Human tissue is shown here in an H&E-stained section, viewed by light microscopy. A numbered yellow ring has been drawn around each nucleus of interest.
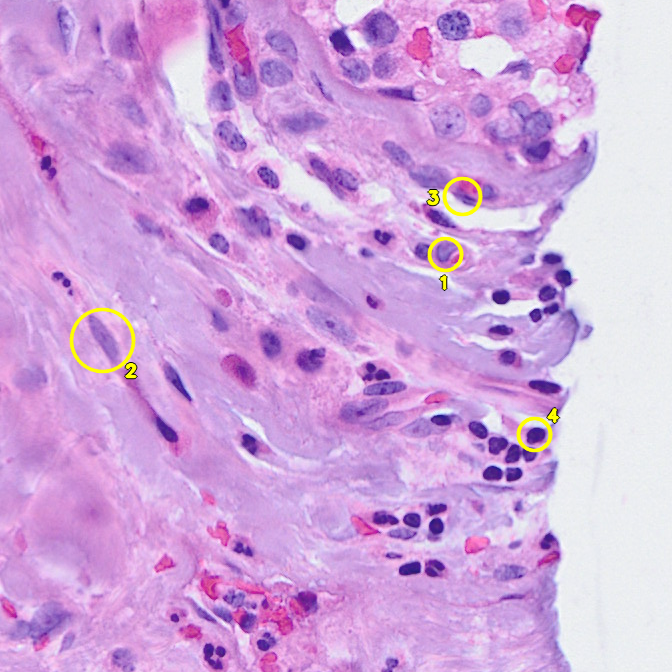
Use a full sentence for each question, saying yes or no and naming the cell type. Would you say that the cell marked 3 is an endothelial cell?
Yes, so the cell at label 3 is an endothelial cell.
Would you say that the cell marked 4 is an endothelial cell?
No, cell 4 does not represent an endothelial cell; it represents a lymphocyte.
